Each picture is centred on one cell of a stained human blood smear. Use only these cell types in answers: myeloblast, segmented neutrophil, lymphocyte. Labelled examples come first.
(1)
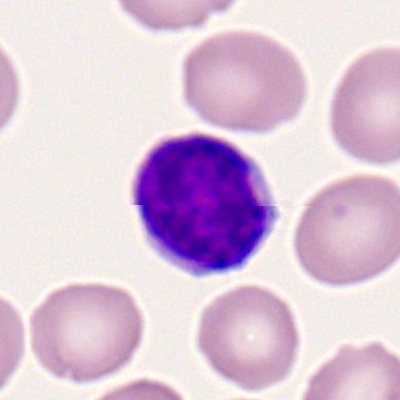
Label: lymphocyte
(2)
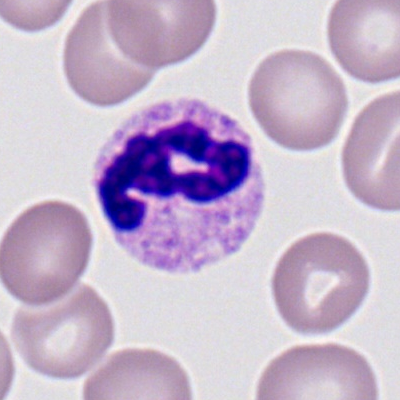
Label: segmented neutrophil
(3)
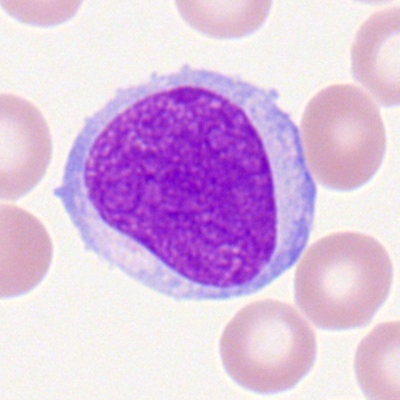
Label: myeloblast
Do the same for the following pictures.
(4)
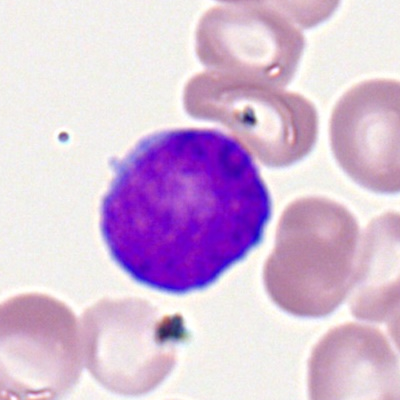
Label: myeloblast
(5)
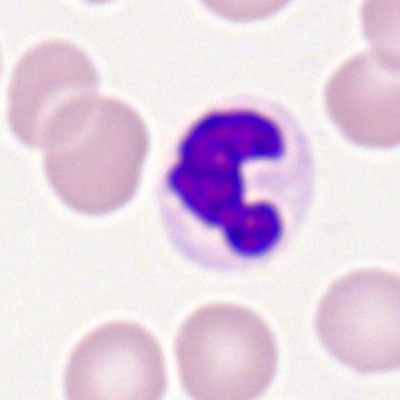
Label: segmented neutrophil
